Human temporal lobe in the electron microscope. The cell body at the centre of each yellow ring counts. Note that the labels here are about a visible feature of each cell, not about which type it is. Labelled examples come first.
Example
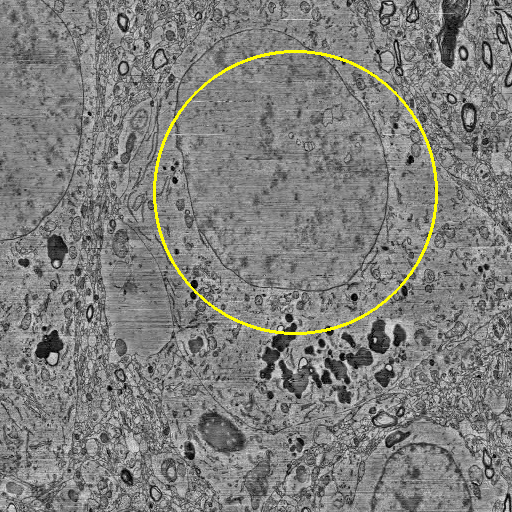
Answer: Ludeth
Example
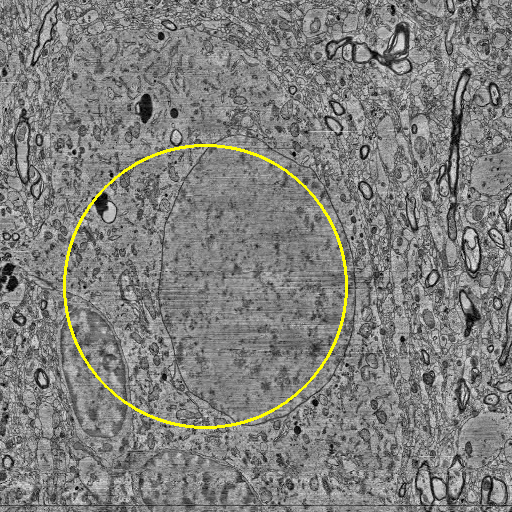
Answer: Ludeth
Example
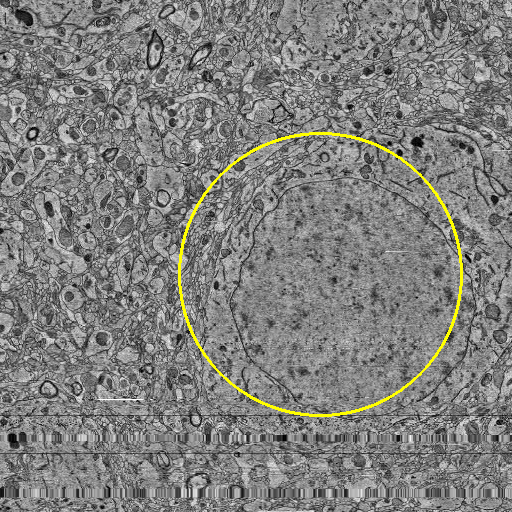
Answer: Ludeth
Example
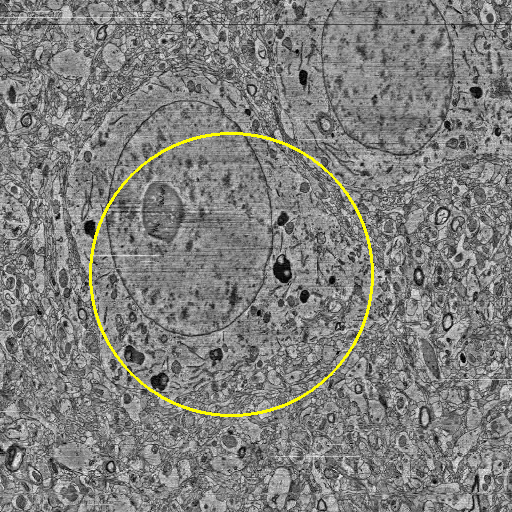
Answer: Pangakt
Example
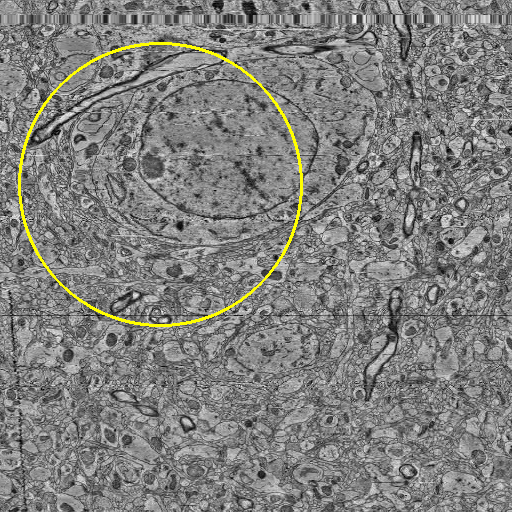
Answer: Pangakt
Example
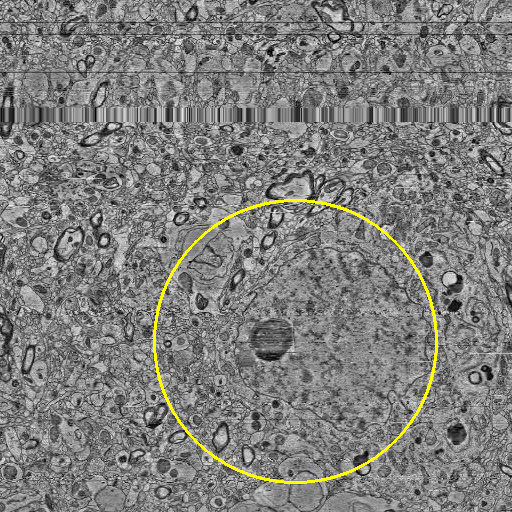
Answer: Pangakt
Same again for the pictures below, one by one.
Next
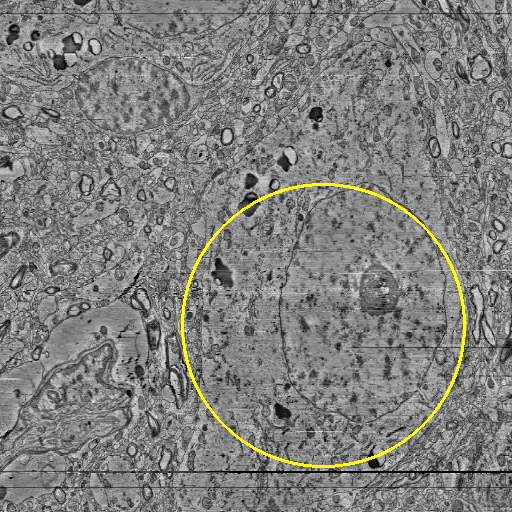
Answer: Pangakt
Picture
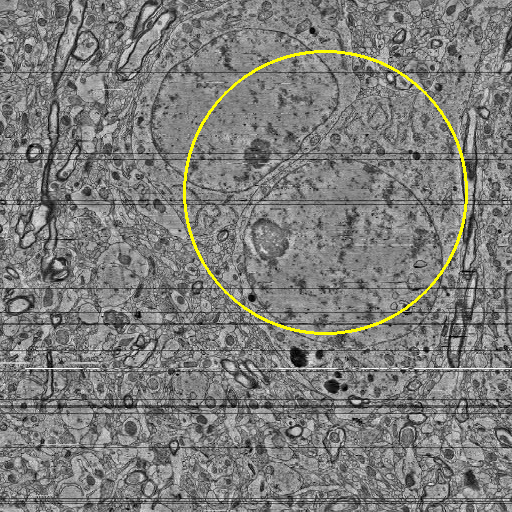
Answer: Pangakt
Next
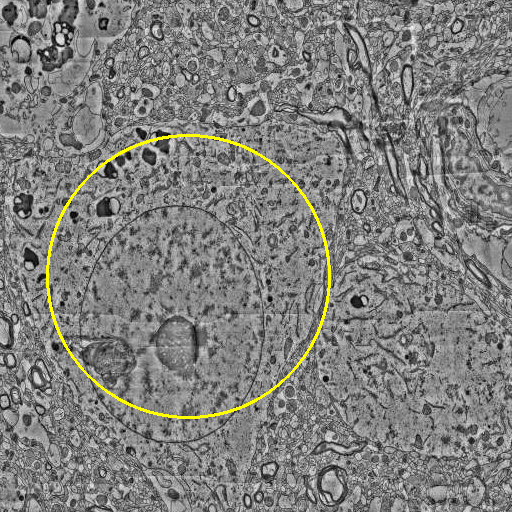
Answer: Pangakt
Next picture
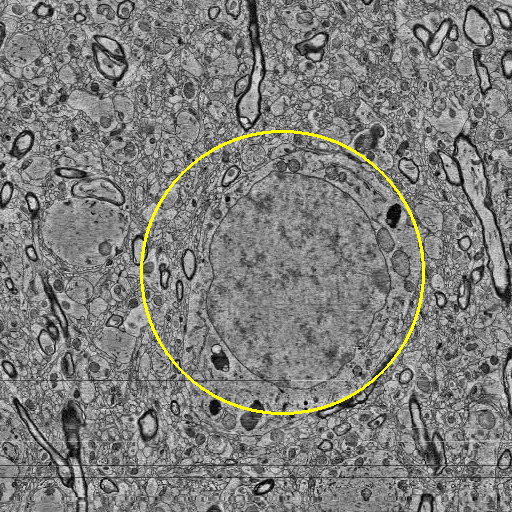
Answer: Ludeth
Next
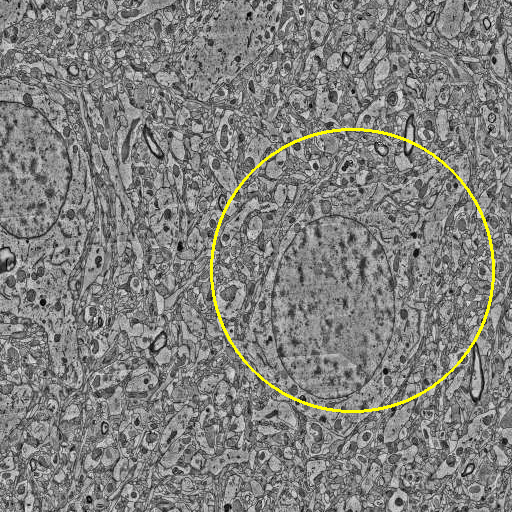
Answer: Ludeth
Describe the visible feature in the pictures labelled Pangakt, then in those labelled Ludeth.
Pangakt: nucleolus seen; Ludeth: no nucleolus seen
